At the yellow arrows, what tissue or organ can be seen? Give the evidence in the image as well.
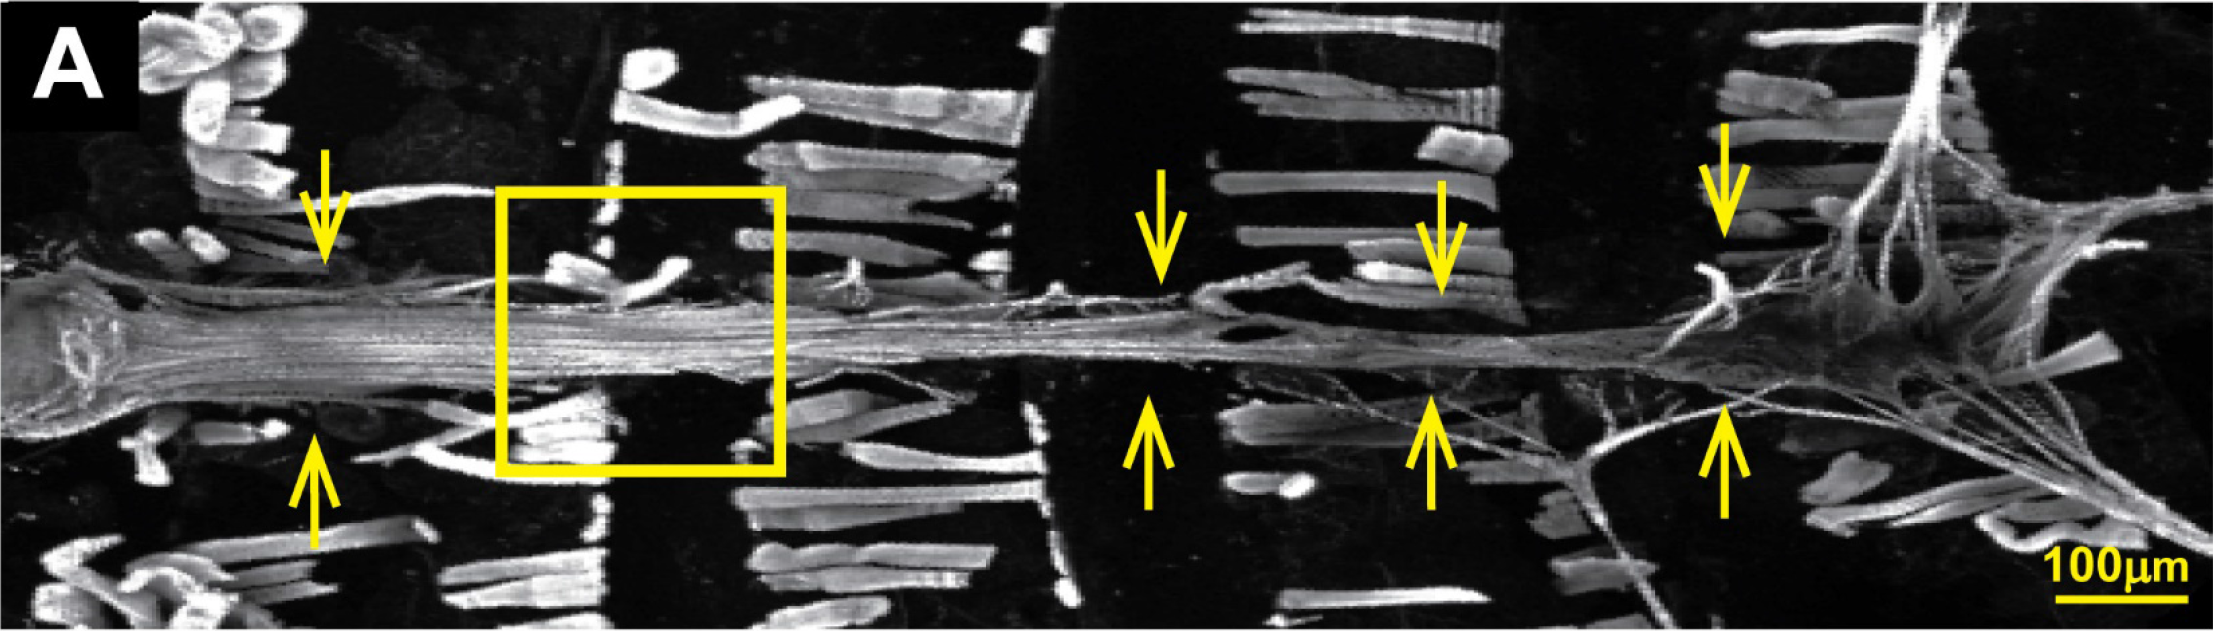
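The arrows flank a long narrow tube running along the midline. Thick bright striated muscle bands lie on either side of the tube.
Heart.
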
